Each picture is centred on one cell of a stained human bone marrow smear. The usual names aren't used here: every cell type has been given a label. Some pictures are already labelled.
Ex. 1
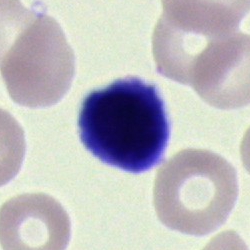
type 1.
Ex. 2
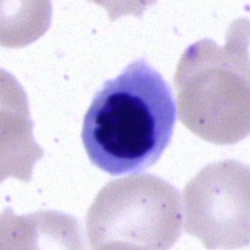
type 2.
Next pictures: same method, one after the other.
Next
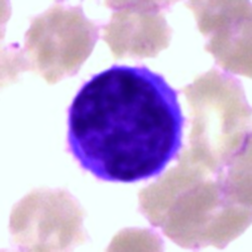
type 1.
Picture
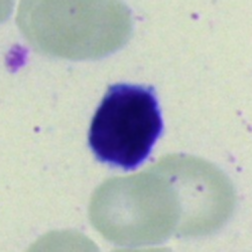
type 1.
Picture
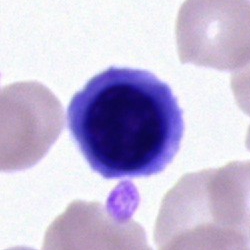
type 2.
